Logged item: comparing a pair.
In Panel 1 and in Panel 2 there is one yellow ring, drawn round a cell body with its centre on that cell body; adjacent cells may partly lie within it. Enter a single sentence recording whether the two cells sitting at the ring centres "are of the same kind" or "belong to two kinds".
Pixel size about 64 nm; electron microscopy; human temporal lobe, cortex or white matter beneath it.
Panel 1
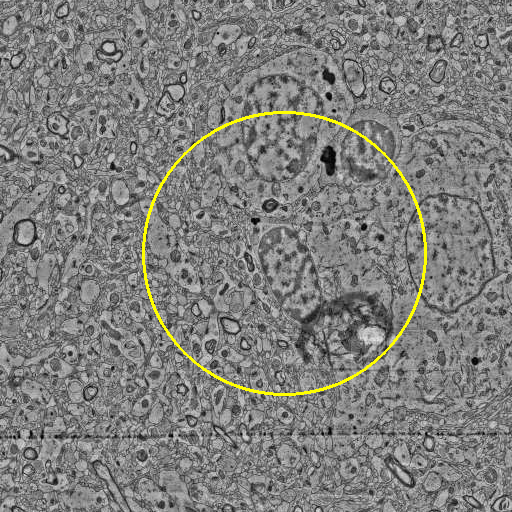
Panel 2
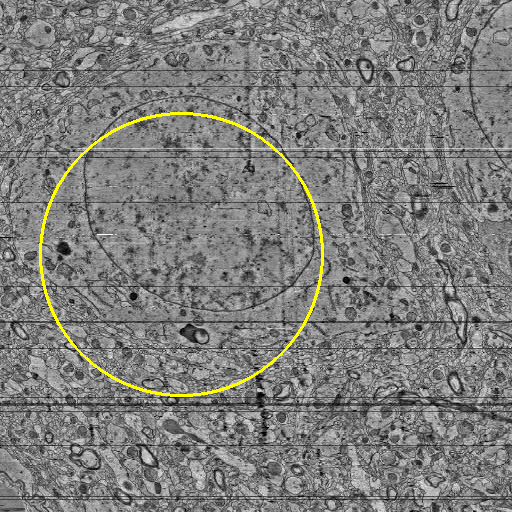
Logged: the cells centred in the rings of Panel 1 and Panel 2 belong to two kinds.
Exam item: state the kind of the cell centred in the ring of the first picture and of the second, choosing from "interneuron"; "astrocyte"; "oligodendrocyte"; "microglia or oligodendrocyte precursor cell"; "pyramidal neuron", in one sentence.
The first picture shows an oligodendrocyte at the ring centre and the second shows a pyramidal neuron.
